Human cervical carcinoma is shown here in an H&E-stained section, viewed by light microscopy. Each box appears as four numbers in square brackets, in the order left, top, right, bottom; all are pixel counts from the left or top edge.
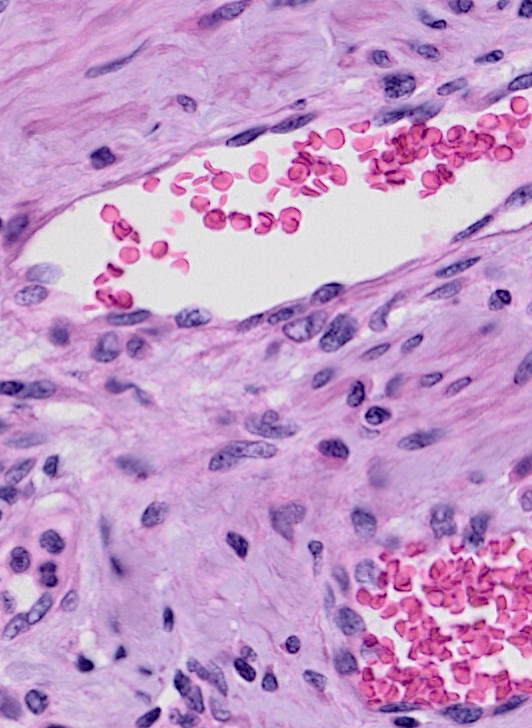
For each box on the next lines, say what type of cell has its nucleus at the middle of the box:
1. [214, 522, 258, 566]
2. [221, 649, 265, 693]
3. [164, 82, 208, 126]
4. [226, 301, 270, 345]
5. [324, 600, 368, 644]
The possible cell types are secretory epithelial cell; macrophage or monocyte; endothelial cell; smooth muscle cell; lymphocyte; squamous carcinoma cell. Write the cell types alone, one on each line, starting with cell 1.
lymphocyte
lymphocyte
smooth muscle cell
endothelial cell
endothelial cell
